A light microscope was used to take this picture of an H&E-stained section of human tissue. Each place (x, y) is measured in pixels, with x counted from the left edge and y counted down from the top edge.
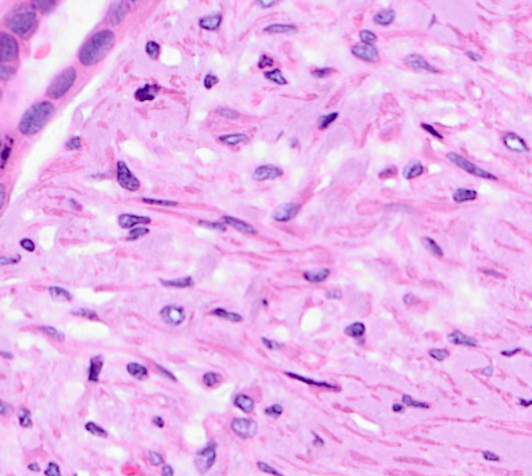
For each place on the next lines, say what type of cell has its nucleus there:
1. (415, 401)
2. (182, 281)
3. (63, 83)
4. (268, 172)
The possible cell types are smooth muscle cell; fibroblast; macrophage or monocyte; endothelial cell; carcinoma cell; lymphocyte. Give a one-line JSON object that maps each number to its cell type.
{"1": "fibroblast", "2": "fibroblast", "3": "carcinoma cell", "4": "fibroblast"}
